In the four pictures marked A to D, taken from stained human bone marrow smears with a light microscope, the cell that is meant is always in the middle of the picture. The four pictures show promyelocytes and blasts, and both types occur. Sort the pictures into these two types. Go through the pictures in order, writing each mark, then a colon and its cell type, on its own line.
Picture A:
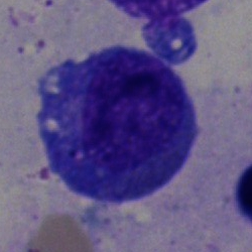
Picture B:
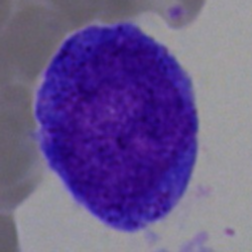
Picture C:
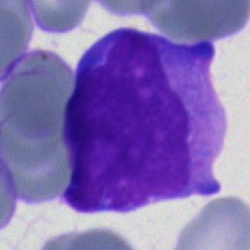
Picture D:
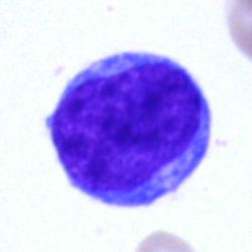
A: promyelocyte
B: promyelocyte
C: blast
D: blast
